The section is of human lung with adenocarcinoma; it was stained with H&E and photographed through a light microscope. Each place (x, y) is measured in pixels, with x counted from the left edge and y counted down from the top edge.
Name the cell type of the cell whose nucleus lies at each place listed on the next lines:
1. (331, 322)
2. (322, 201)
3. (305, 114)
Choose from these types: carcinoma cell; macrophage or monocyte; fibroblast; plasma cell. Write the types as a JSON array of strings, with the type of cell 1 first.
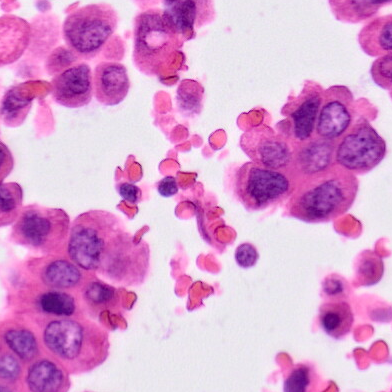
["macrophage or monocyte", "carcinoma cell", "carcinoma cell"]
